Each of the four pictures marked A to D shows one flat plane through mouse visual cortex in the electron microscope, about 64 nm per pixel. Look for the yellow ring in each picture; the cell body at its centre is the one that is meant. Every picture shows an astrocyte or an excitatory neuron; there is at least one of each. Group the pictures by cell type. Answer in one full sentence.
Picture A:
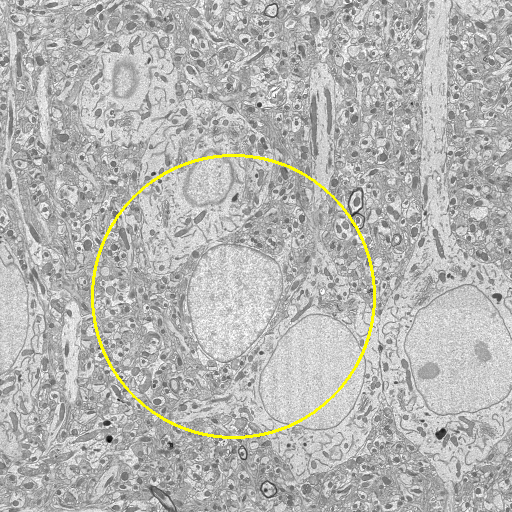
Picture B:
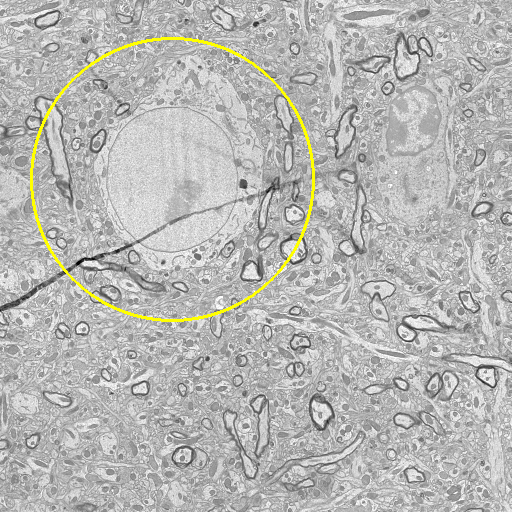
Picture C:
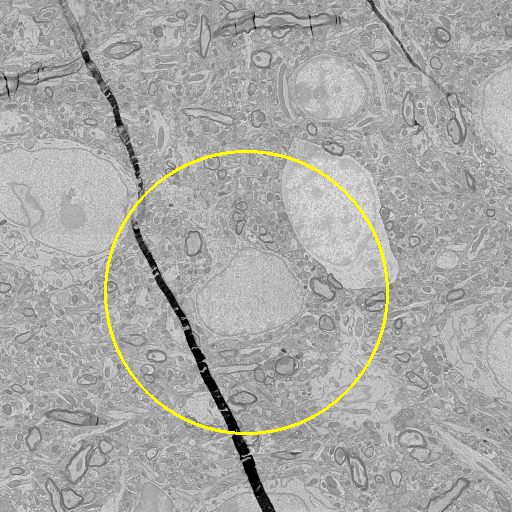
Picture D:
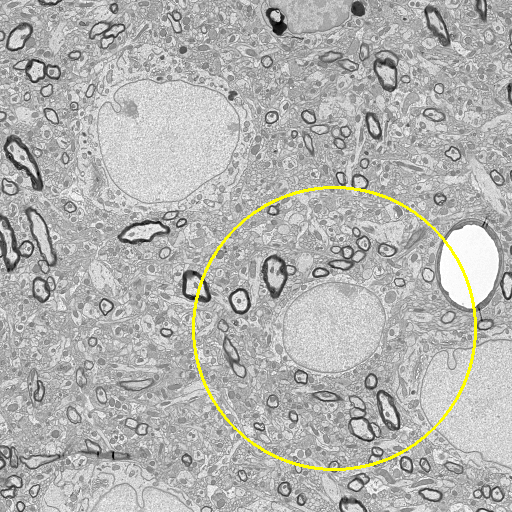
Pictures A, C and D show astrocytes, and picture B shows an excitatory neuron.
